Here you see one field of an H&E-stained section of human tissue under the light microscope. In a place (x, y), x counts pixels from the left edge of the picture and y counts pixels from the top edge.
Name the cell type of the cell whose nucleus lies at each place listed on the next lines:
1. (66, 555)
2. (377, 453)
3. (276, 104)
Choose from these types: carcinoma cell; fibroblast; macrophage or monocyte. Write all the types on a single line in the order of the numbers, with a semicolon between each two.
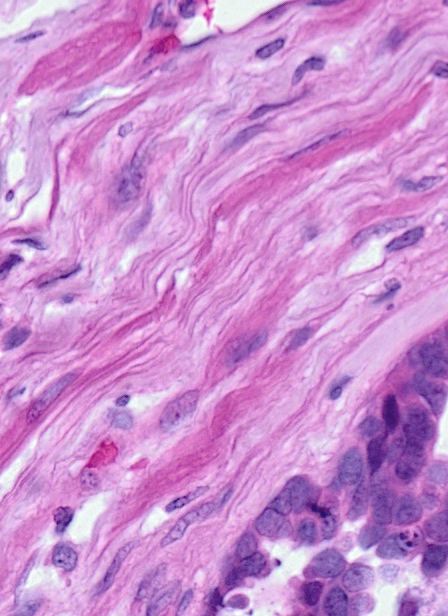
macrophage or monocyte; carcinoma cell; fibroblast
